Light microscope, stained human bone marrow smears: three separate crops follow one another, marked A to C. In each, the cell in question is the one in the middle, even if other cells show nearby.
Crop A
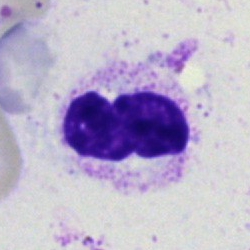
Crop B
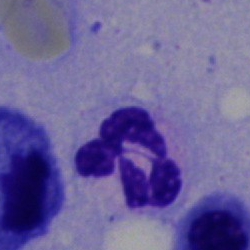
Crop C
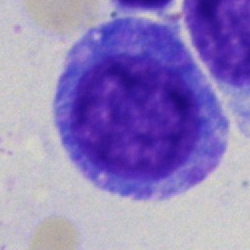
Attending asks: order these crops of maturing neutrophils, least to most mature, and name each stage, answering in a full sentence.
The correct order, least to most mature, is crop C (a promyelocyte), crop A (a band neutrophil) and crop B (a segmented neutrophil).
